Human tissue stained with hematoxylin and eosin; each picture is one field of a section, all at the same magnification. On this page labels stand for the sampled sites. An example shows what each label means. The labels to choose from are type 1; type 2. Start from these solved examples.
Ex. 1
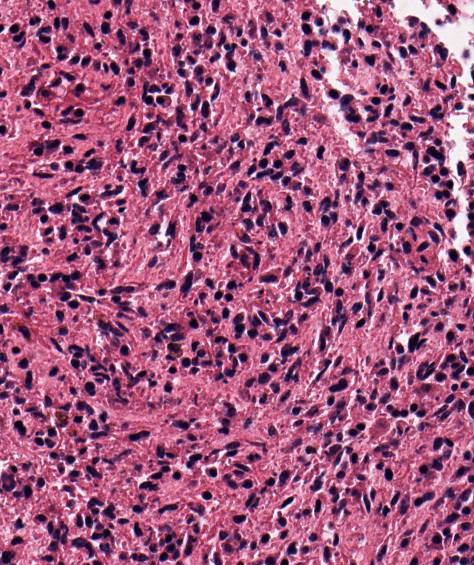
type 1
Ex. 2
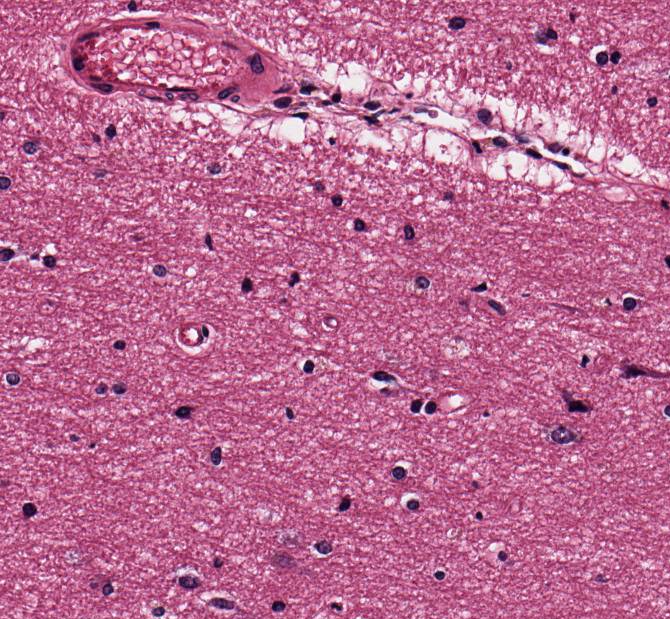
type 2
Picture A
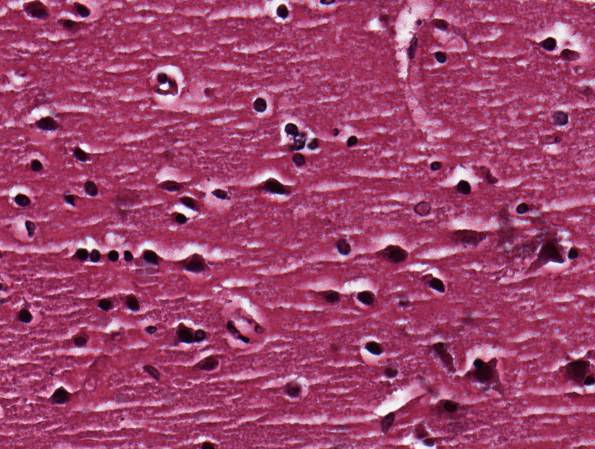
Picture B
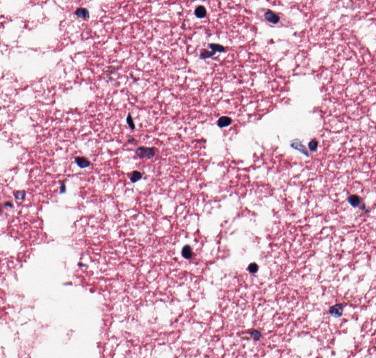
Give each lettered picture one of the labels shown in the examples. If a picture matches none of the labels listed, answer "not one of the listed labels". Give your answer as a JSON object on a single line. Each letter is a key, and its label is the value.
{"A": "type 2", "B": "type 2"}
